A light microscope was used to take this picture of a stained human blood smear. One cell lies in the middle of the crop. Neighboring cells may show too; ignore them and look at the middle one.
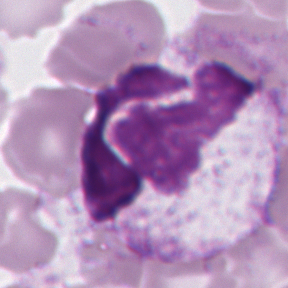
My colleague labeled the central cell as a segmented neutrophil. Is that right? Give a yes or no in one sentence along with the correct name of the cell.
Yes, the cell at the middle is a segmented neutrophil.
